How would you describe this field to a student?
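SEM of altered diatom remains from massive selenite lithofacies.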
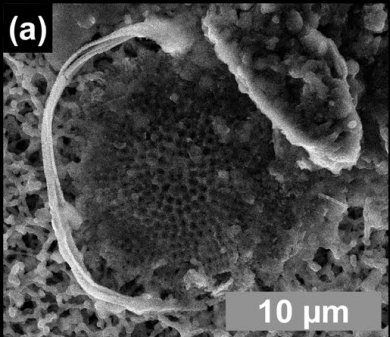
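The valve is round, and its central face shows a dense honeycomb-like pattern of small pores. Its rim has come loose from the face and forms a thin curved band that loops around one side, partly broken away. The valve surface looks dull and grainy where a fine coating covers it. Around the valve lies a porous, sponge-like mesh of small particles, and a separate flattened fragment with a rough surface rests against its upper right edge.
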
